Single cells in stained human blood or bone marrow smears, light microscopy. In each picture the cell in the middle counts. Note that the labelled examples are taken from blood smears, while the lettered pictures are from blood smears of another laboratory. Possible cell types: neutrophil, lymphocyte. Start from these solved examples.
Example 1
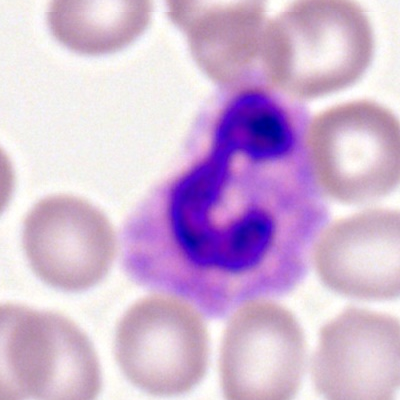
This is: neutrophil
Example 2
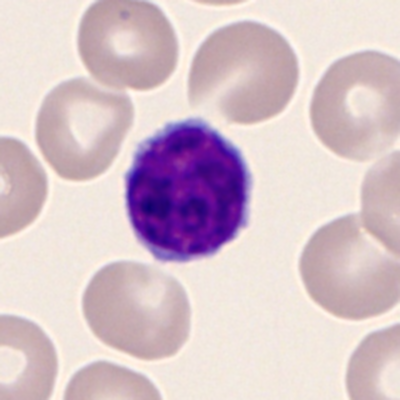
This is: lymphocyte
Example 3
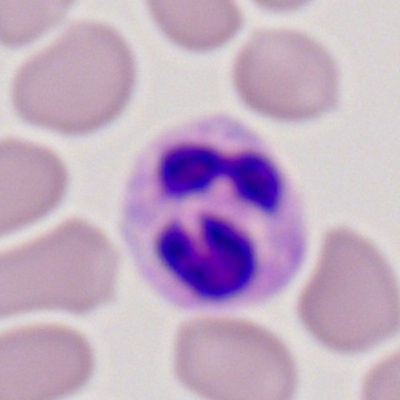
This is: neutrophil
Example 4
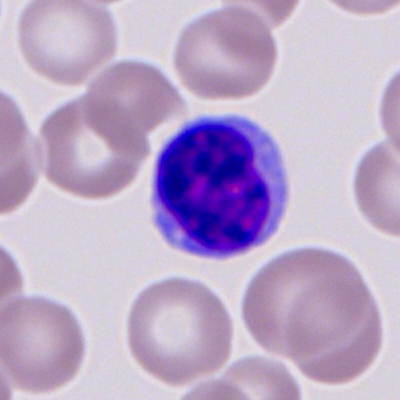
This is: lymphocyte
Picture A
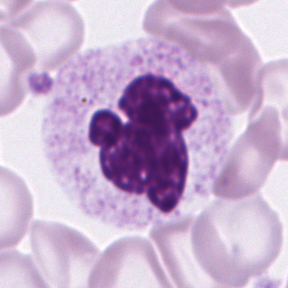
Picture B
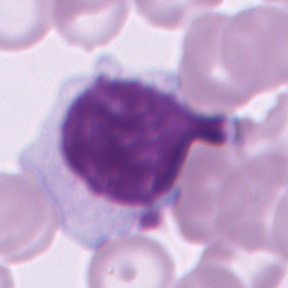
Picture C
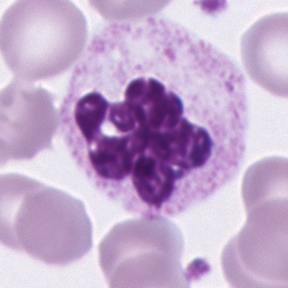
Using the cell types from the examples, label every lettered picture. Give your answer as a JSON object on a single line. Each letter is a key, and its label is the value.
{"A": "neutrophil", "B": "lymphocyte", "C": "neutrophil"}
